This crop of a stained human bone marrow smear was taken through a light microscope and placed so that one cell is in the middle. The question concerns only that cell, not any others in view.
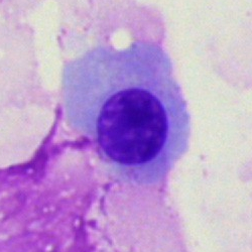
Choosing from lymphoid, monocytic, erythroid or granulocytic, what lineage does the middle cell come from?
erythroid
